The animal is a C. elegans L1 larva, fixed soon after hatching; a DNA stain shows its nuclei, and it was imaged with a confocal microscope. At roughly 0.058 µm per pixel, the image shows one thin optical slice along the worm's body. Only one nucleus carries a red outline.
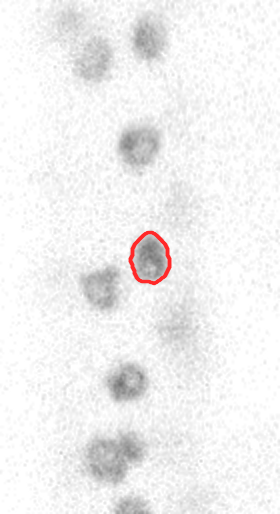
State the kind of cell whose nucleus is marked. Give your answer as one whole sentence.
This nucleus is from a P cell (ventral epidermal blast cell).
